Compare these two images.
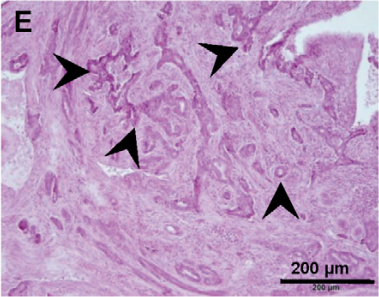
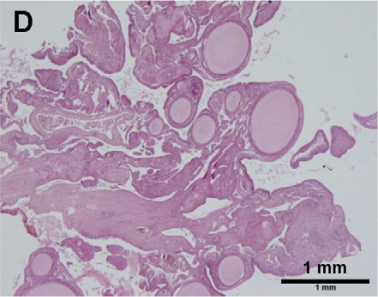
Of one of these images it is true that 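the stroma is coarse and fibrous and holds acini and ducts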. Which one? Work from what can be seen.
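The first image. First image: dense streaky pink fibrous tissue with small glandular spaces. Second image: loose folded stroma with round smooth follicles and no glands.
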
